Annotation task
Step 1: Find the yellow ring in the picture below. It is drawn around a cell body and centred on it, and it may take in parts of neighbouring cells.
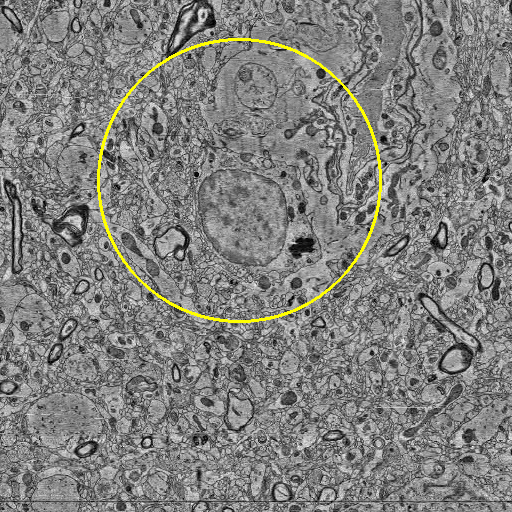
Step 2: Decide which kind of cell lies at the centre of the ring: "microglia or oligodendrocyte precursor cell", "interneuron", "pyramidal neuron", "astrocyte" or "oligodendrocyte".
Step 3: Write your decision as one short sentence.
The kind of cell at the ring's centre is an oligodendrocyte.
